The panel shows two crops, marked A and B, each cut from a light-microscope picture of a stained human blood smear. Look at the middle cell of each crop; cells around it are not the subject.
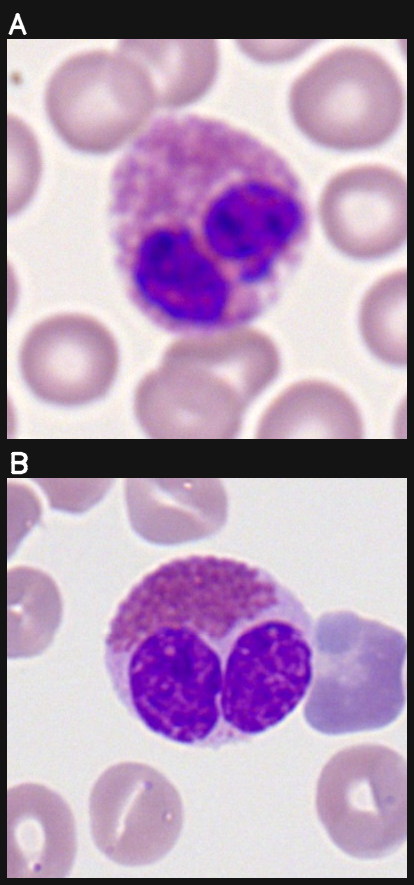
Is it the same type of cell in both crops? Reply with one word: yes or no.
yes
